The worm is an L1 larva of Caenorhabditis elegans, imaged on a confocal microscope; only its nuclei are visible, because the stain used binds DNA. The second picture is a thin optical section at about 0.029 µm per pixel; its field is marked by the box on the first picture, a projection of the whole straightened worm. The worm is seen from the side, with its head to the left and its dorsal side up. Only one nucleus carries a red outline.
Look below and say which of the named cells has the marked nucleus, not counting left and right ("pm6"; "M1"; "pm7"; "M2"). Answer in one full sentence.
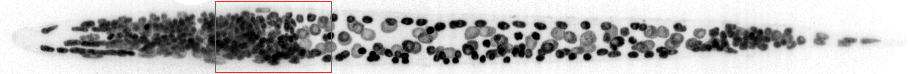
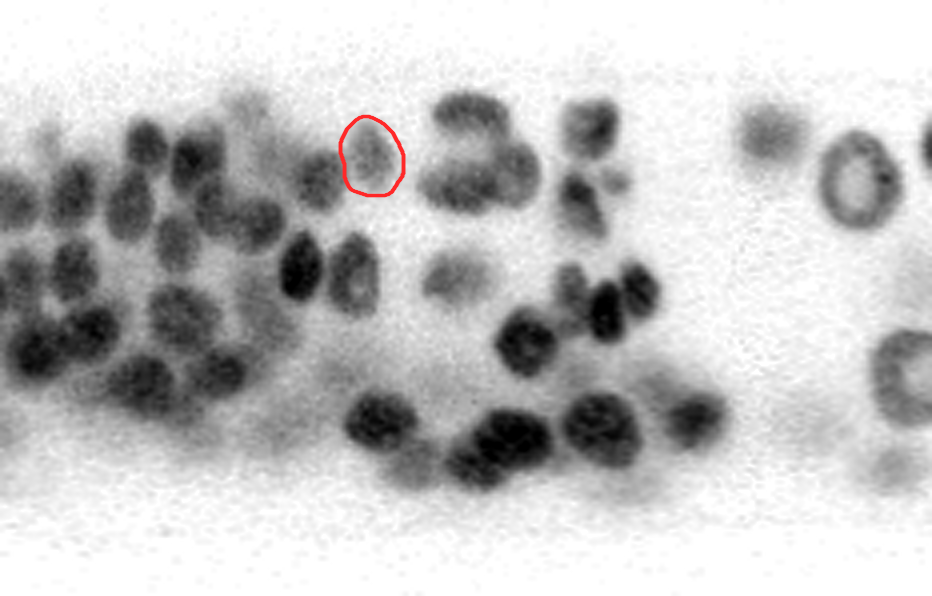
This is the nucleus of M1, a neuron.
